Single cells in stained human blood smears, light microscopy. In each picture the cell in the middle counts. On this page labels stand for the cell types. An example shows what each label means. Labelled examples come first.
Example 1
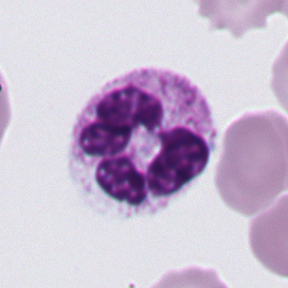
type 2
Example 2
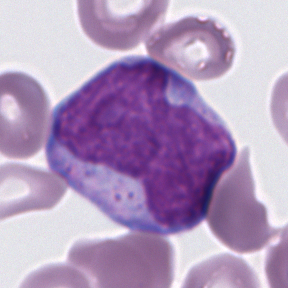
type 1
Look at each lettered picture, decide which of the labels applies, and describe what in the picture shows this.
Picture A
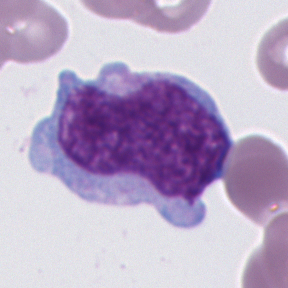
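type 1: The nucleus has a shallow notch in its upper edge, giving it a kidney-like shape.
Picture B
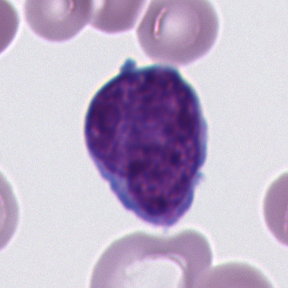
type 1: The cytoplasm is a scant blue rim, widest at the lower left.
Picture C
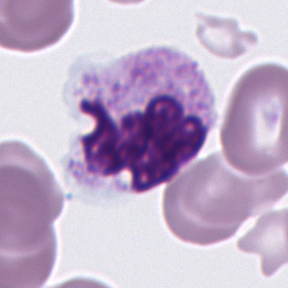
type 2: The cytoplasm is abundant and pale, with a faint grey-blue tinge at its edge.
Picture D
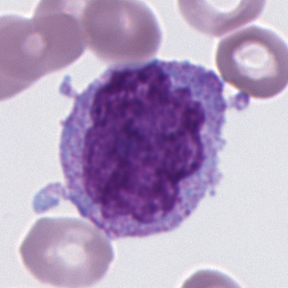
type 1: The nucleus is a single irregular, lumpy mass that fills most of the cell.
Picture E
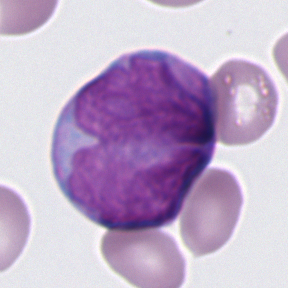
type 1: The nucleus fills most of the cell.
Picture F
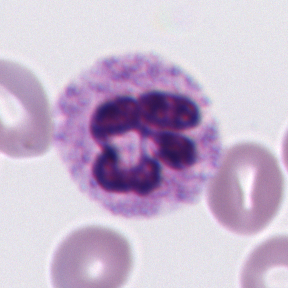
type 2: The nucleus is divided into four separate lobes.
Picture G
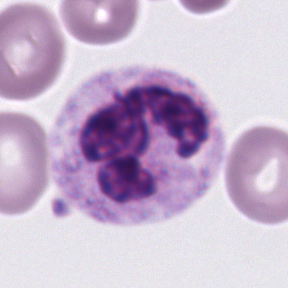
type 2: The nucleus is divided into three lobes.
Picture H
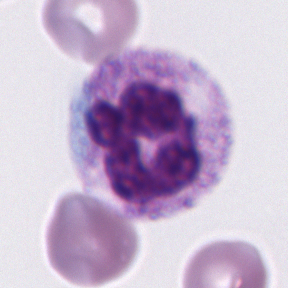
type 2: The nucleus is divided into several lobes clustered in the centre of the cell.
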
